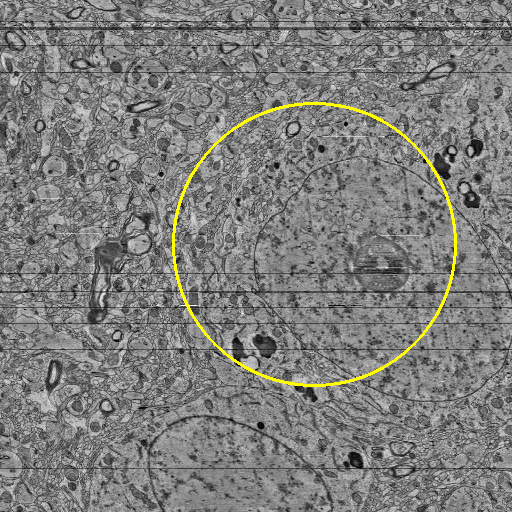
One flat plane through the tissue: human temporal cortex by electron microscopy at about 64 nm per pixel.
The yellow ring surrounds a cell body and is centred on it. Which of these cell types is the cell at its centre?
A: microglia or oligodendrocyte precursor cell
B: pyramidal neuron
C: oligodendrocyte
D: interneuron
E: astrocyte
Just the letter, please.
B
